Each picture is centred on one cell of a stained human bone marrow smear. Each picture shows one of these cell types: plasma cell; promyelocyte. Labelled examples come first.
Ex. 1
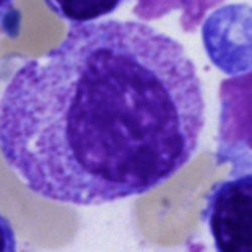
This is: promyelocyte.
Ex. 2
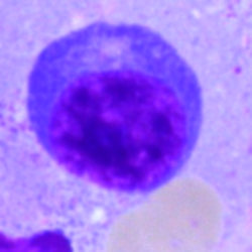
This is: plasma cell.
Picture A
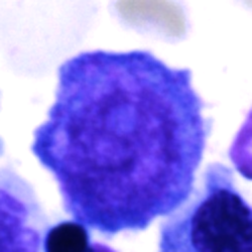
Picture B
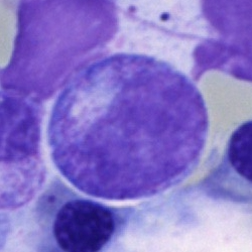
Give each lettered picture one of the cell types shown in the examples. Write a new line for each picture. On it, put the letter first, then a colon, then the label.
A: promyelocyte.
B: promyelocyte.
